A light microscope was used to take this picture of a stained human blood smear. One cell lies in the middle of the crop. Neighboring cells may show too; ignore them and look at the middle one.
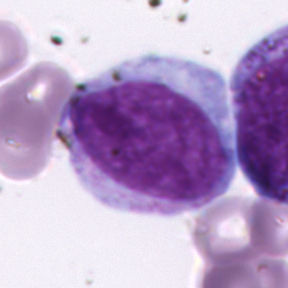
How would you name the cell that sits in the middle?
myelocyte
